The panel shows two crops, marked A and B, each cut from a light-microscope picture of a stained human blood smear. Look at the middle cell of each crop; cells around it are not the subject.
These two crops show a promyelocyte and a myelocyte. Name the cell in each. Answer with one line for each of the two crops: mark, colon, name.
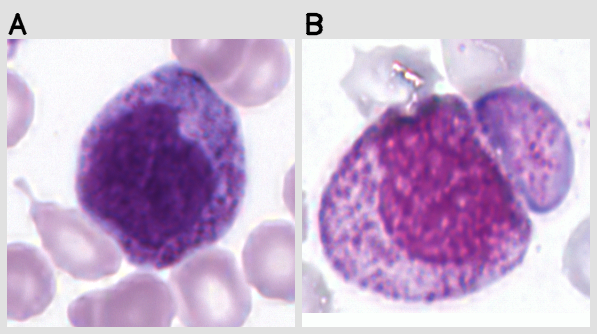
A: promyelocyte
B: myelocyte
